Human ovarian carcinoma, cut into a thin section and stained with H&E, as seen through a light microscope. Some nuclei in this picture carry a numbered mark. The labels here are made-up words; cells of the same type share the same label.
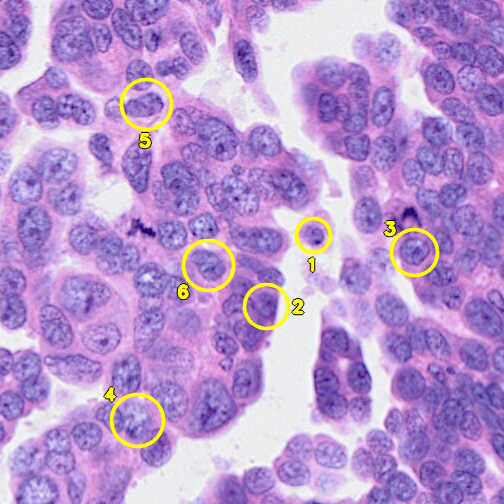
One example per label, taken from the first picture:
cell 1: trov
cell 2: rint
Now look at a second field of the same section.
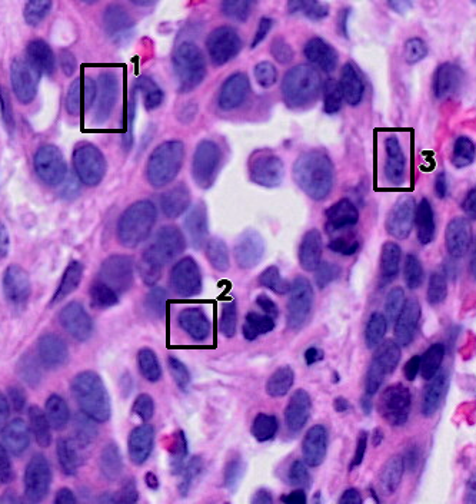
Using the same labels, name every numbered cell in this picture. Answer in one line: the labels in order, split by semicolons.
rint; rint; trov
